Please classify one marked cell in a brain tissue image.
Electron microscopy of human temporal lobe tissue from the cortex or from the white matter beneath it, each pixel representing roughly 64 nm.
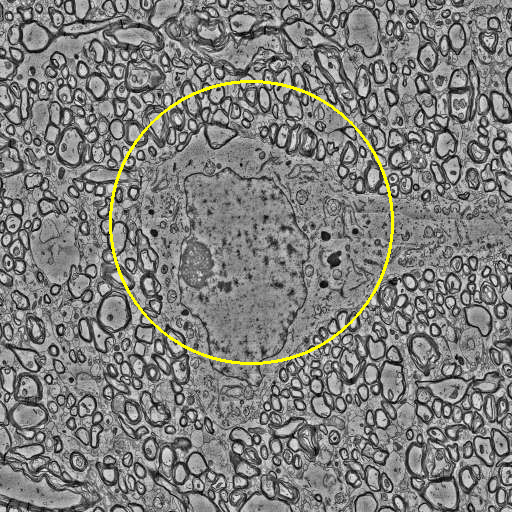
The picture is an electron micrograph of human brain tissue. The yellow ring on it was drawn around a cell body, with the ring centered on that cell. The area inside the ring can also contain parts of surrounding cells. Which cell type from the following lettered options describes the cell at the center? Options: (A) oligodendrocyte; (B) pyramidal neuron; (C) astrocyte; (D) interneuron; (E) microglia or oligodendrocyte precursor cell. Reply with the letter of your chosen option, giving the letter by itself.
B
